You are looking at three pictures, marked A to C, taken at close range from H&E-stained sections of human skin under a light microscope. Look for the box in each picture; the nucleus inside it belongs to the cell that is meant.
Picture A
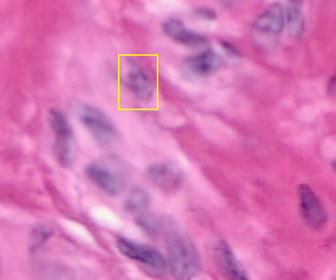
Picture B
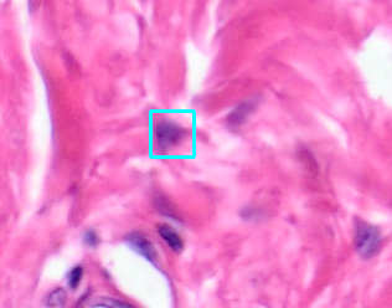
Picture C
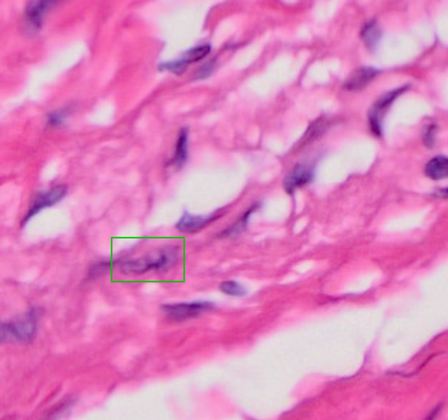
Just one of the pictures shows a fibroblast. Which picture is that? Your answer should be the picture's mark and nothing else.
B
